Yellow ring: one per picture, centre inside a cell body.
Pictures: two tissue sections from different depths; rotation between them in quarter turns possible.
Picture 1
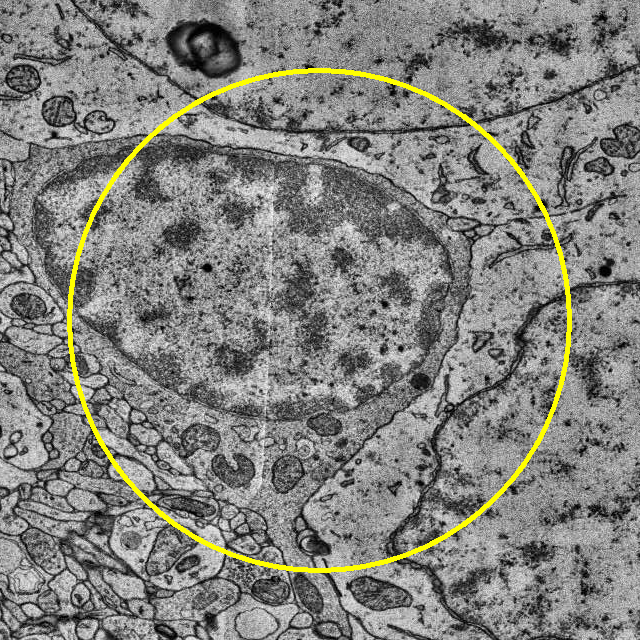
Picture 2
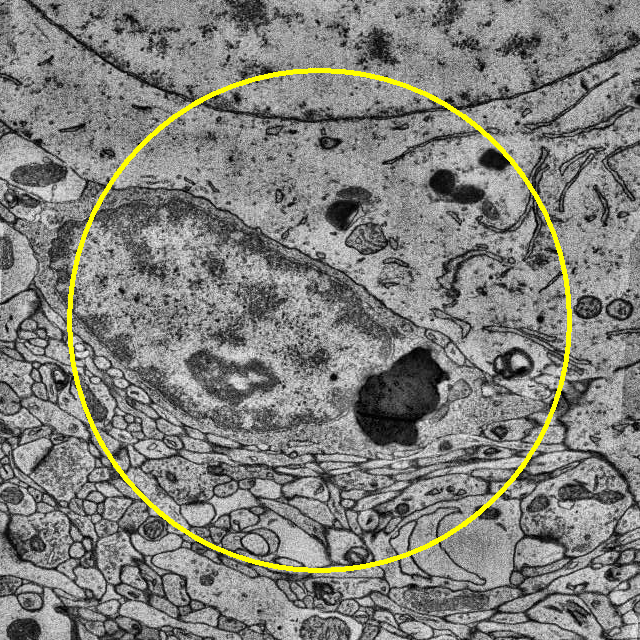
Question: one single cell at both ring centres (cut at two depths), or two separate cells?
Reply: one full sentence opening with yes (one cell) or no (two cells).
Yes, the cell inside the first ring is the cell inside the second.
